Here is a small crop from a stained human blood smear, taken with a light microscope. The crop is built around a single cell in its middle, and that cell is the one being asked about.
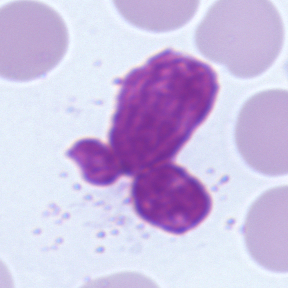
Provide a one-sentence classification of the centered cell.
What the crop centres on is a smudge cell.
